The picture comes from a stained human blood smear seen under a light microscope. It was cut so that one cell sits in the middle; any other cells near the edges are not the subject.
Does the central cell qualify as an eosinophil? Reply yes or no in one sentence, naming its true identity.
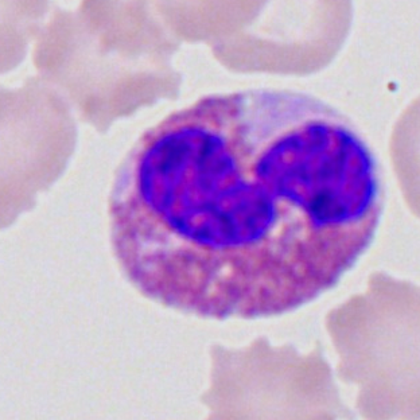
Yes, this is an eosinophil, the cell in the middle of the crop.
